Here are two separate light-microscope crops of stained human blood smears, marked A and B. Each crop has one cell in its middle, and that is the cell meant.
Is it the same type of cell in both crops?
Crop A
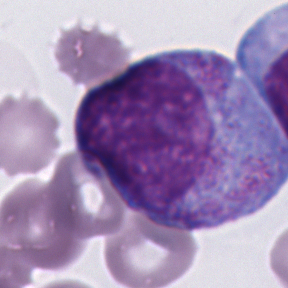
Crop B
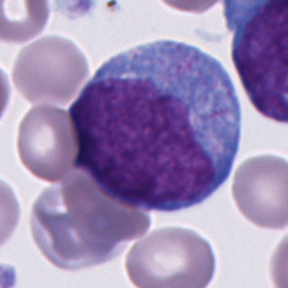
yes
